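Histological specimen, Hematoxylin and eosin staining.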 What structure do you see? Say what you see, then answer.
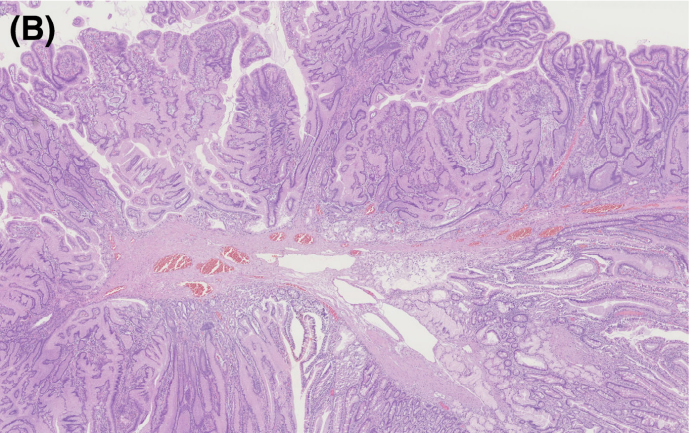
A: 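Branching bundles of smooth muscle fibers. A pink fibrous core runs across the centre of the lesion. Pink bands branch from the core between the glandular lobules. Glandular mucosa covers the branching pink bands.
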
